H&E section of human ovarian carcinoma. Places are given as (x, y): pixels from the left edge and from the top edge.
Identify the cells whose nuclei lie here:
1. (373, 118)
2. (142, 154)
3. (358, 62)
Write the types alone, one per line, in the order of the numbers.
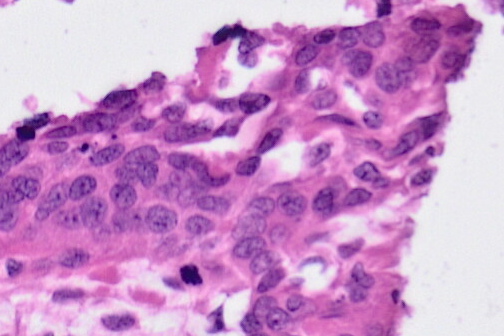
macrophage or monocyte
carcinoma cell
carcinoma cell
